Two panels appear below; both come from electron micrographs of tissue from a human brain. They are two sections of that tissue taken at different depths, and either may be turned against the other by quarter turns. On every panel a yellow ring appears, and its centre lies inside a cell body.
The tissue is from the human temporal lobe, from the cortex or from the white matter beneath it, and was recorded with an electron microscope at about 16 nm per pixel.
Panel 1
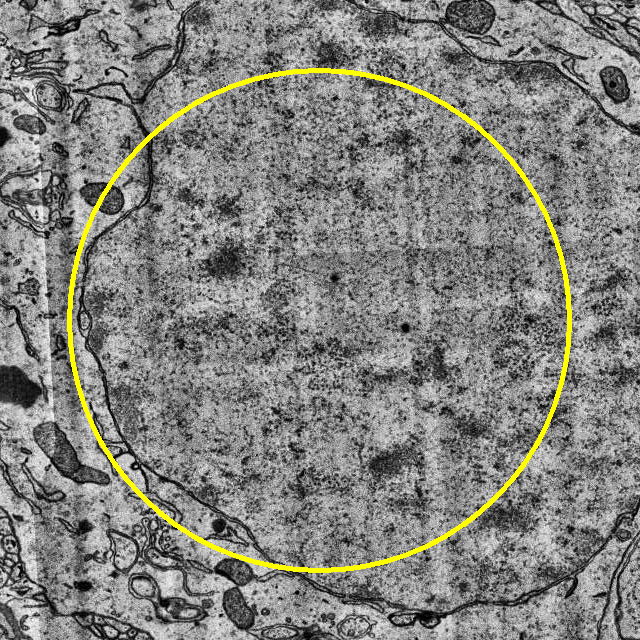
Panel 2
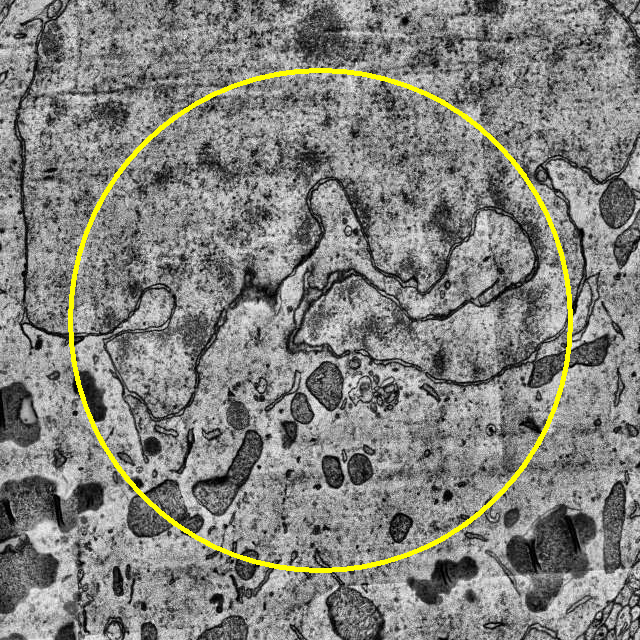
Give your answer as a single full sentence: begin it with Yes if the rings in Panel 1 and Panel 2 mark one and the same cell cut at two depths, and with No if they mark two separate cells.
Yes, the same individual cell is enclosed by both rings.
